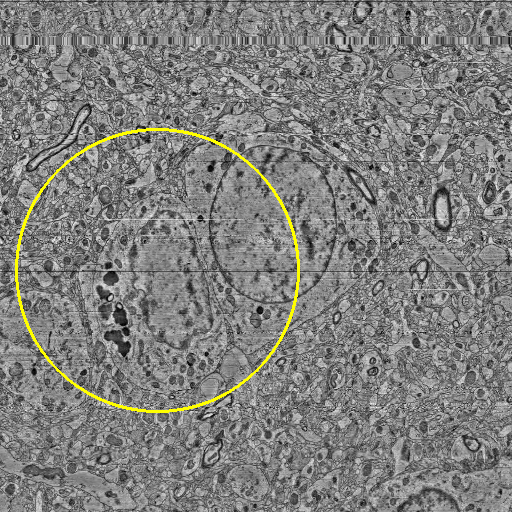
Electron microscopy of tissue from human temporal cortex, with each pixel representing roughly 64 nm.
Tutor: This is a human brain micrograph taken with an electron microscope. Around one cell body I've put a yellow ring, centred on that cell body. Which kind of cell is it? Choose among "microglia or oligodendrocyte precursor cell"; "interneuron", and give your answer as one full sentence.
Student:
Going by your list, the cell centred in the yellow ring is an interneuron.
